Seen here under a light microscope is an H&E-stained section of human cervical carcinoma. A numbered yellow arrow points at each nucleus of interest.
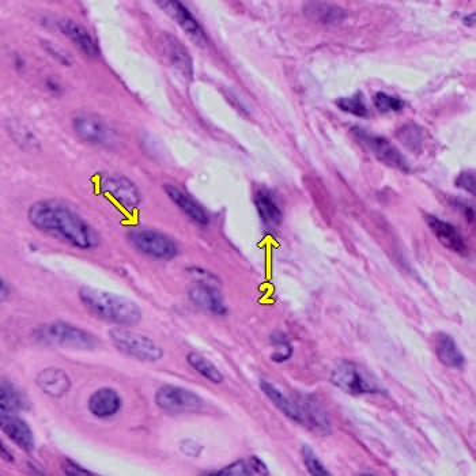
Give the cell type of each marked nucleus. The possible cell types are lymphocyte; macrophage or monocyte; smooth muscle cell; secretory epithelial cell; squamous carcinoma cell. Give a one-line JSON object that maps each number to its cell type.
{"1": "squamous carcinoma cell", "2": "macrophage or monocyte"}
